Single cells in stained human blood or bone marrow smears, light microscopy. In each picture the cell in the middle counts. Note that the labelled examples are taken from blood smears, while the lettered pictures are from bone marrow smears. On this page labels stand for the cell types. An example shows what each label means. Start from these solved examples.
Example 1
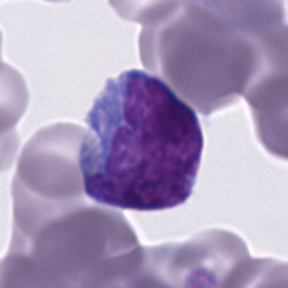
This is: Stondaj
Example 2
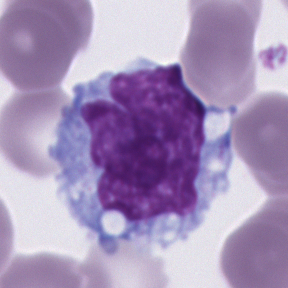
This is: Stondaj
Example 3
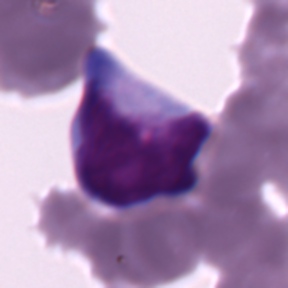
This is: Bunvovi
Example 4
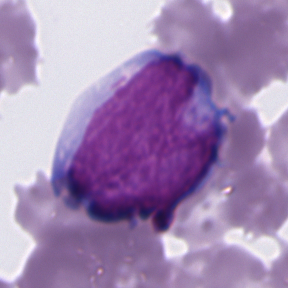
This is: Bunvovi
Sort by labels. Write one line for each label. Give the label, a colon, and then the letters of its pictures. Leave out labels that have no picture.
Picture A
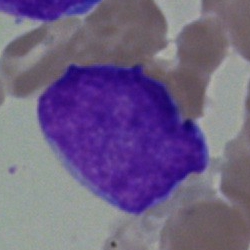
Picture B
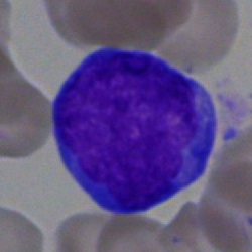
Bunvovi: A, B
